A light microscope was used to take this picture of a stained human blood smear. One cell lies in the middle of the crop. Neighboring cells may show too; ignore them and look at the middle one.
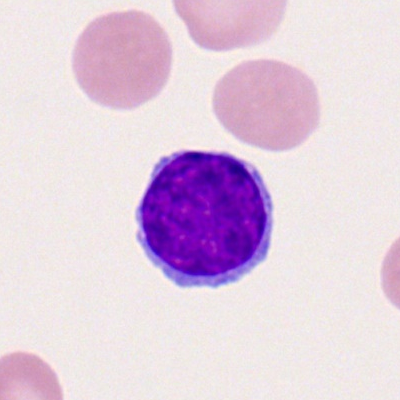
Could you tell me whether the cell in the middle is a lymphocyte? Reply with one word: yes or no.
yes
